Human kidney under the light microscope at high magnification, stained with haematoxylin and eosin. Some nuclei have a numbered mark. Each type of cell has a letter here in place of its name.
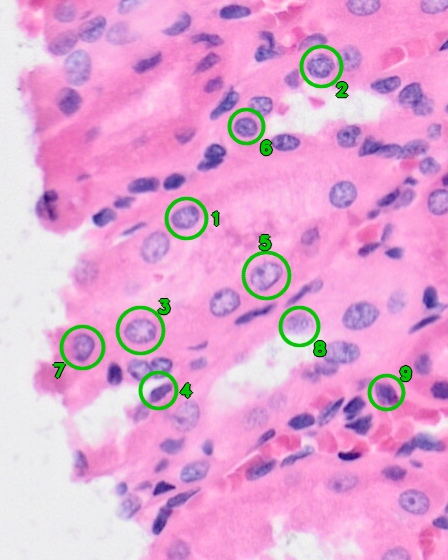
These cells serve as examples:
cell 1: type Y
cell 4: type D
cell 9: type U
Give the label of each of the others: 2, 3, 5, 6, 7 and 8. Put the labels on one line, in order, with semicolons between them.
type D; type Y; type Y; type D; type Y; type D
